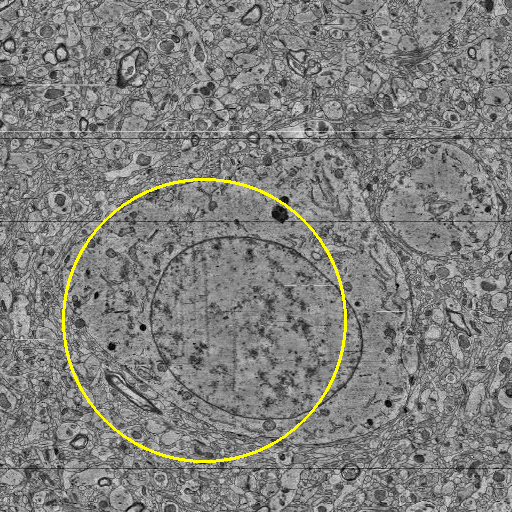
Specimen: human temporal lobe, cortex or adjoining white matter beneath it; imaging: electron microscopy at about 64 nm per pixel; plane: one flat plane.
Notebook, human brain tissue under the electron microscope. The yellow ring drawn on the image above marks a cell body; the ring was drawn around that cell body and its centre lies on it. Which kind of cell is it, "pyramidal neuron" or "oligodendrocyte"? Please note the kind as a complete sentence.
The marked cell body is that of a pyramidal neuron.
